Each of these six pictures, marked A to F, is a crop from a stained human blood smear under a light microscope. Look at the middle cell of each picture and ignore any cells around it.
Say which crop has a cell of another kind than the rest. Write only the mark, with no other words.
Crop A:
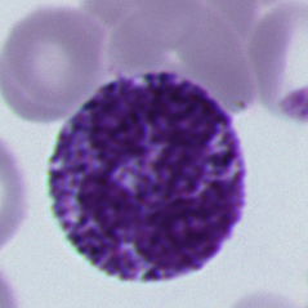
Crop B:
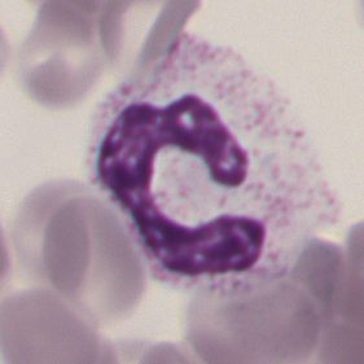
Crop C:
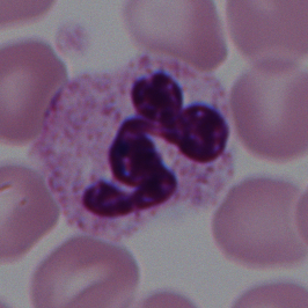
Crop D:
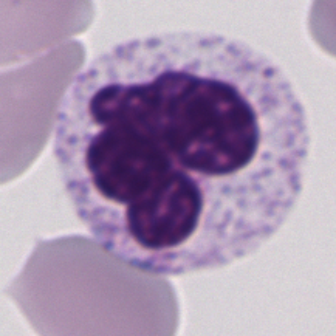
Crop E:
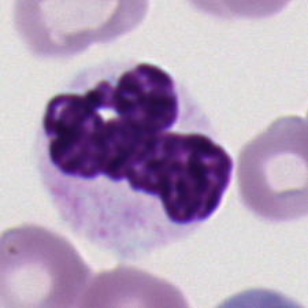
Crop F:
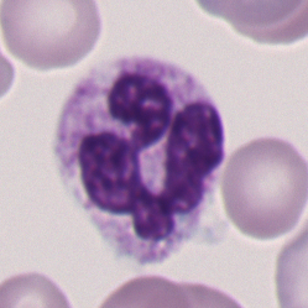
A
